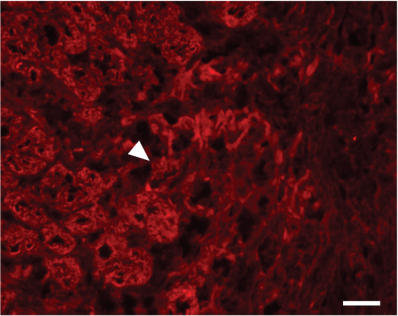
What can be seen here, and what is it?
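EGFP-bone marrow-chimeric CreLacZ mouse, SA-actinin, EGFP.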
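This is heart muscle seen in cross section, with cardiomyocytes showing as red rounded profiles. On the left the profiles are large and fairly regular, each with a mottled red interior and darker gaps between neighbouring cells. Toward the right the red becomes streaky and disorganised, without clear round cell outlines. The field thus shows an ordered zone of cut-across muscle cells beside a less organised region.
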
